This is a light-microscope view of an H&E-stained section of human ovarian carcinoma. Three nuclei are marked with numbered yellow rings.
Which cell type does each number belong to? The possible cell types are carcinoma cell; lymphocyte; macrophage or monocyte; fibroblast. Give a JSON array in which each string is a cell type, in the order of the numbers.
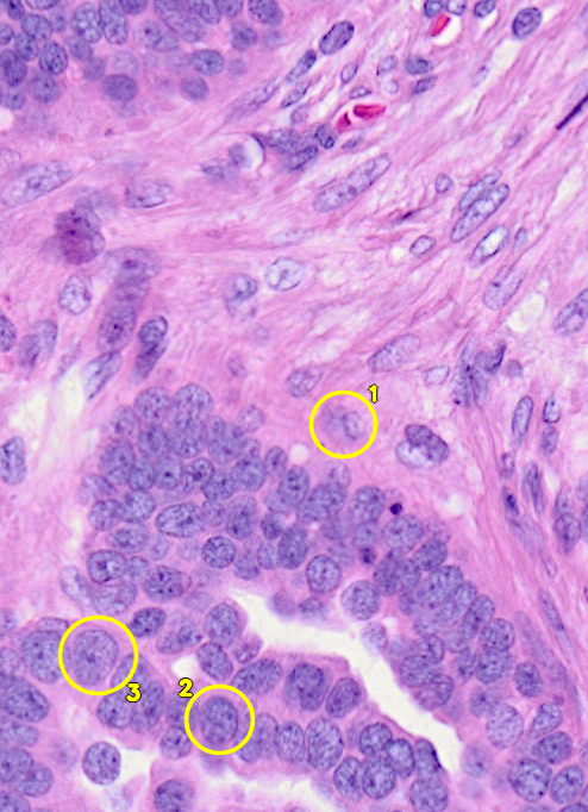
["fibroblast", "carcinoma cell", "carcinoma cell"]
